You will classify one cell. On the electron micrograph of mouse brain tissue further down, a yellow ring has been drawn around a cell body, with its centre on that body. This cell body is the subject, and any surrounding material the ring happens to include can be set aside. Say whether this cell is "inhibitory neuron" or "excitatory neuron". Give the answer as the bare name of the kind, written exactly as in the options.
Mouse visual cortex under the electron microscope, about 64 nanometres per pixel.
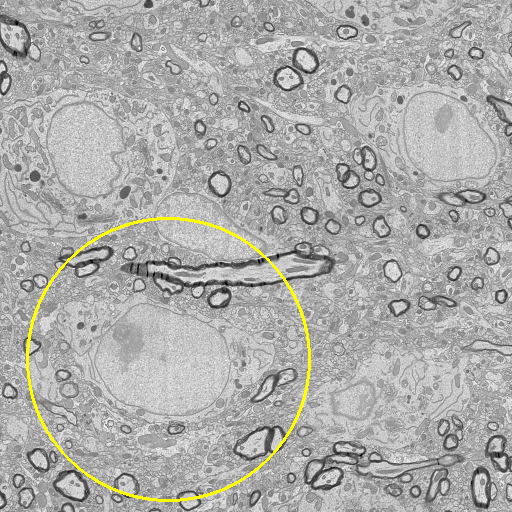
excitatory neuron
